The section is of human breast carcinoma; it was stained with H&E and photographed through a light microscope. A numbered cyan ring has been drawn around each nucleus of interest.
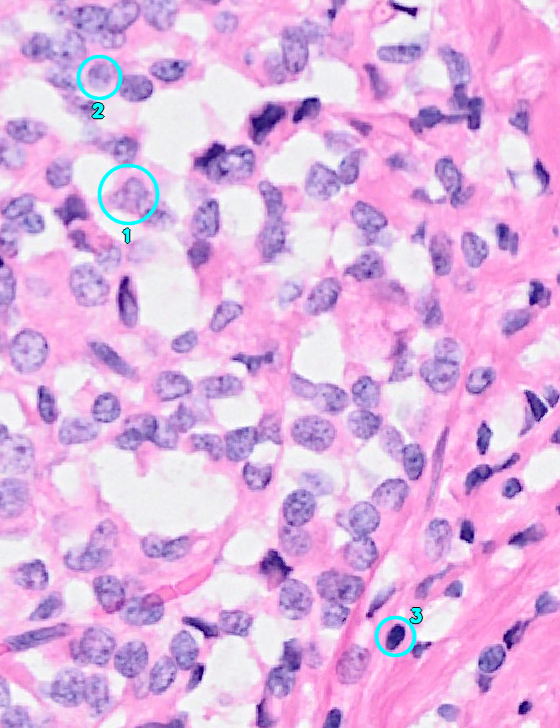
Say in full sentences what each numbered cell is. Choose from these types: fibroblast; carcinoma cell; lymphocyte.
Cell 1 is a carcinoma cell, cell 2 is a carcinoma cell and cell 3 is a lymphocyte.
